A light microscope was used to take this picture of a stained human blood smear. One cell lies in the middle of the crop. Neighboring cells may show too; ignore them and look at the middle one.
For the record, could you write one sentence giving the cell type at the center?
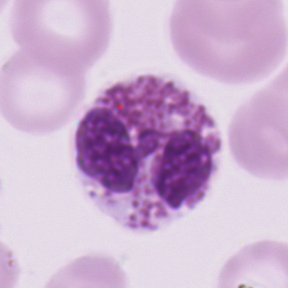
Located at the centre of the crop is an eosinophil.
